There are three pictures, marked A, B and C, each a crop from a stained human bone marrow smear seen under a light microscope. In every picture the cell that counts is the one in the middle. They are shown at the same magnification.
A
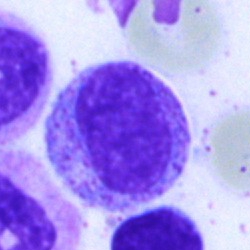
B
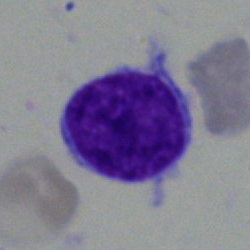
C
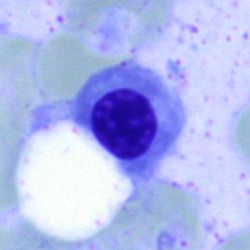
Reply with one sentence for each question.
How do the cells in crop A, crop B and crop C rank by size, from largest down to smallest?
The order is A, B, C, beginning with the largest.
